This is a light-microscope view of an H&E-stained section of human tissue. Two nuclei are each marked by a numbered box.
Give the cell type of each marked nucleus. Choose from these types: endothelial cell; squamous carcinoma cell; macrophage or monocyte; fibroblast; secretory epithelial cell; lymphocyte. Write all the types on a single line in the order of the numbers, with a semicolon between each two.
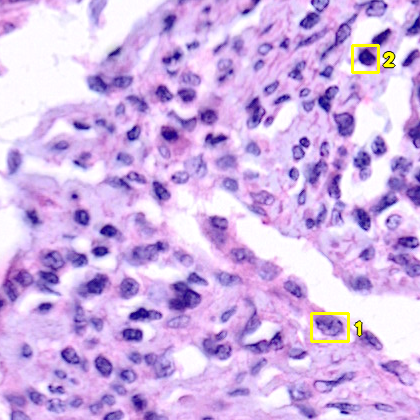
macrophage or monocyte; lymphocyte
